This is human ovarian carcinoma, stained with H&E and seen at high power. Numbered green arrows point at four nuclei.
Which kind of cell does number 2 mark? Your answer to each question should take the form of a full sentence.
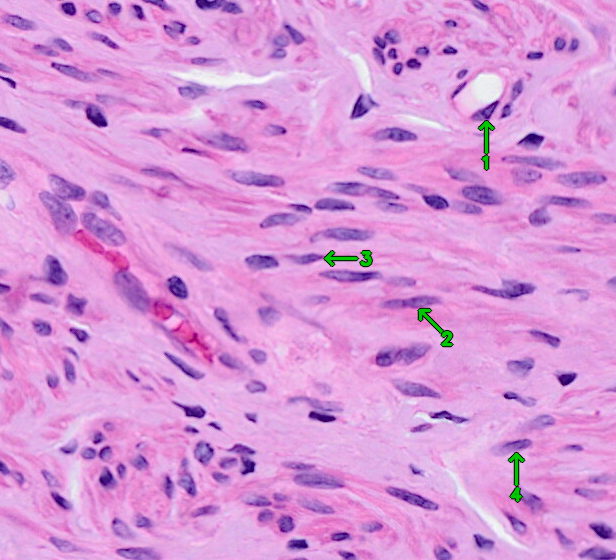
Here, the cell given the number 2 is a smooth muscle cell.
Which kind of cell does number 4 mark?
The cell marked with number 4 is a smooth muscle cell.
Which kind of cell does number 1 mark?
The cell given label 1 is an endothelial cell.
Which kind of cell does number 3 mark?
Cell 3 of the marked set is a smooth muscle cell.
